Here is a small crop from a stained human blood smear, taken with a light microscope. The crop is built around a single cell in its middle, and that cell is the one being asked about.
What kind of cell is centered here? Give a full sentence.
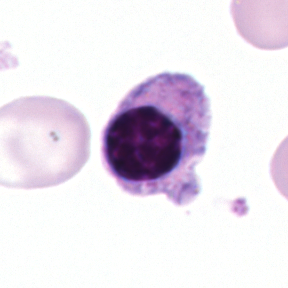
The cell centered in this field of view is a normoblast.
